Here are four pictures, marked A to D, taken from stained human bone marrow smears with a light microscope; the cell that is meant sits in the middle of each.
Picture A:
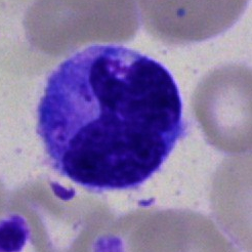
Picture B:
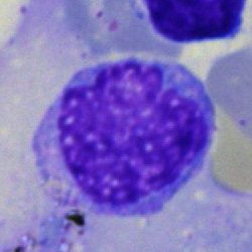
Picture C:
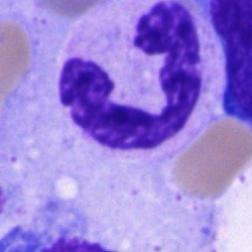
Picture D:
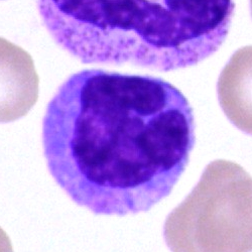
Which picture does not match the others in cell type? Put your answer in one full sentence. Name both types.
All pictures except C show monocytes; picture C shows a segmented neutrophil.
